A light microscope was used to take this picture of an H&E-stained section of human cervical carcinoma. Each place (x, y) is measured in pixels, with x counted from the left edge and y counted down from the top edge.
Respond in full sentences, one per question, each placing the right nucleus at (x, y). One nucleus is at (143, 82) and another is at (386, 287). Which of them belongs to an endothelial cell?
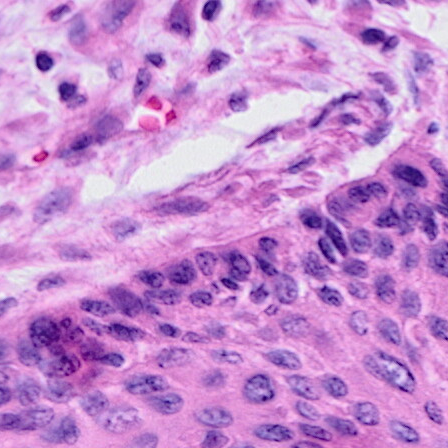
Belonging to an endothelial cell is the nucleus at (143, 82).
